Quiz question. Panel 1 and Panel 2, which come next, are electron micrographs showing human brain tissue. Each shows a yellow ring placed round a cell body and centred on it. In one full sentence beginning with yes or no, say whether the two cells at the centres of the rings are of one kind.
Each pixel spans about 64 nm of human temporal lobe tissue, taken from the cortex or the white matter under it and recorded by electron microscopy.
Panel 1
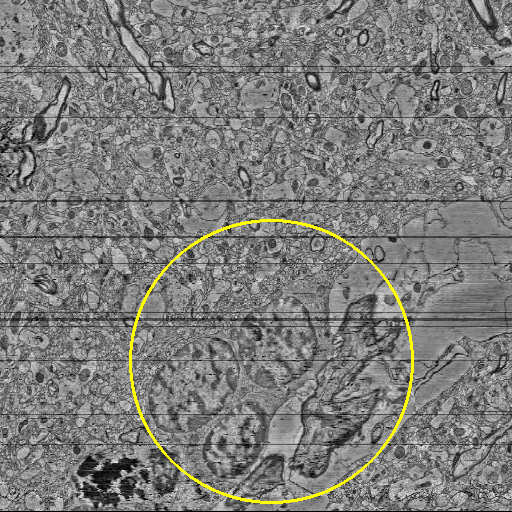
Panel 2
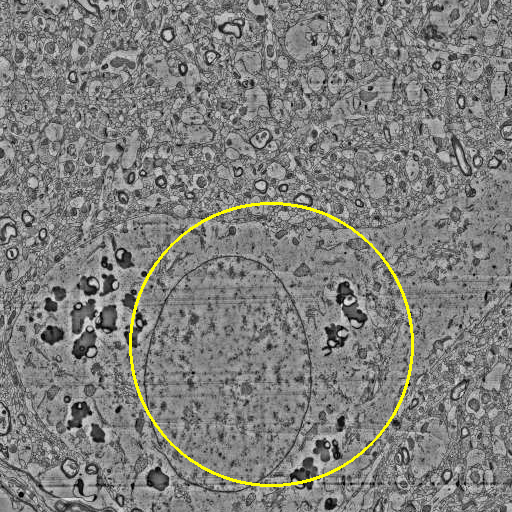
No, Panel 1 and Panel 2 show two kinds of cell at the centre of the ring.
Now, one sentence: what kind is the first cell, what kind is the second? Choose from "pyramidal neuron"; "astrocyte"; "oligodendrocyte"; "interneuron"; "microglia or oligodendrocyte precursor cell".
The first picture has an oligodendrocyte at its ring centre, and the second has a pyramidal neuron.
